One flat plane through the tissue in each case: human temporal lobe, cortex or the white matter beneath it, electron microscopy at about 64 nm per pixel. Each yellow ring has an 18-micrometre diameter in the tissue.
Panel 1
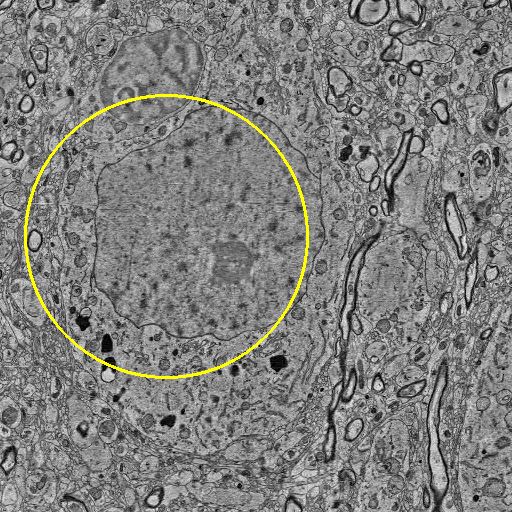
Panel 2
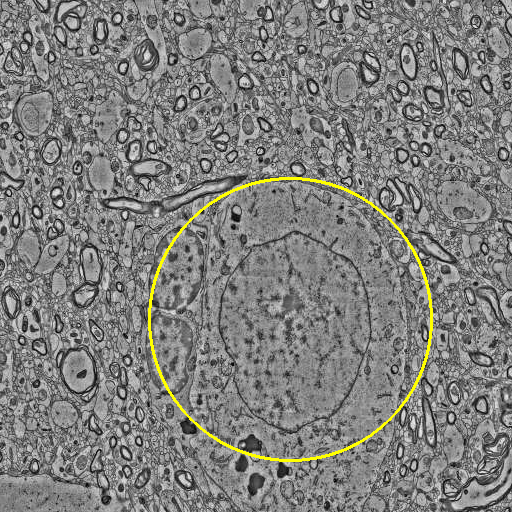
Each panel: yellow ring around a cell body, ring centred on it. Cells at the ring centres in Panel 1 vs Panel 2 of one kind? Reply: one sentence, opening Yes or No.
Yes, Panel 1 and Panel 2 have cells of one kind at the ring centres.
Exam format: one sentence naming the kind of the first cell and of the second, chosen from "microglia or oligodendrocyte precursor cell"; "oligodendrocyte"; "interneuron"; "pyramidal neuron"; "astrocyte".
In each picture the ringed cell is a pyramidal neuron.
